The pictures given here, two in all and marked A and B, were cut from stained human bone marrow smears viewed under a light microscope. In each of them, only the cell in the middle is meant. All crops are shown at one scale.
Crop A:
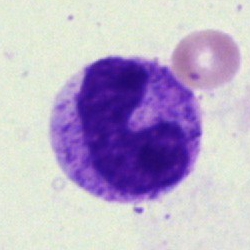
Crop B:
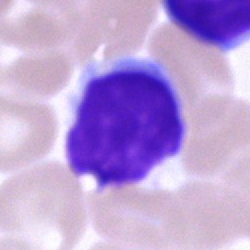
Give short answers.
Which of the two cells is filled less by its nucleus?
A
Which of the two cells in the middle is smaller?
B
